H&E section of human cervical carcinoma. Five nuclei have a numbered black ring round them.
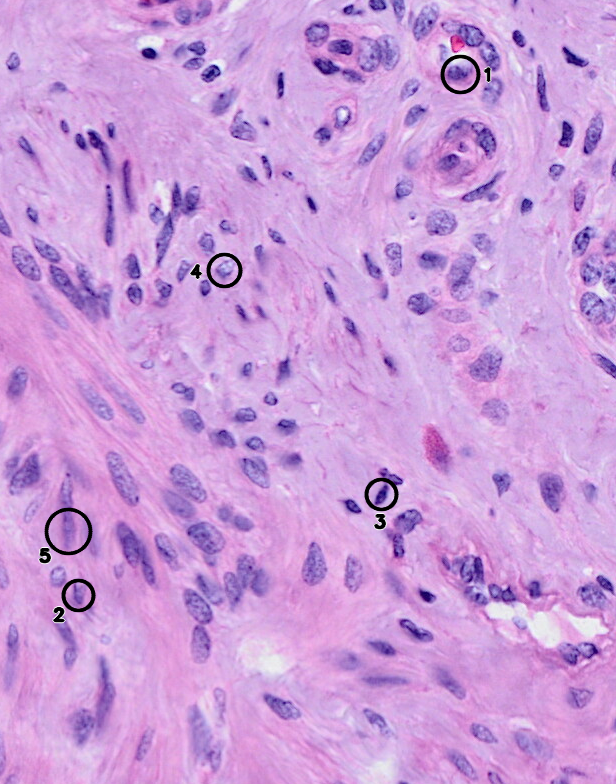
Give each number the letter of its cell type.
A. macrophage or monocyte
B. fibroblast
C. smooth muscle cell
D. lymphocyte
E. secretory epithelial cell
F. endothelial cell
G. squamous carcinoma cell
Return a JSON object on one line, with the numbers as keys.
{"1": "F", "2": "C", "3": "B", "4": "C", "5": "C"}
